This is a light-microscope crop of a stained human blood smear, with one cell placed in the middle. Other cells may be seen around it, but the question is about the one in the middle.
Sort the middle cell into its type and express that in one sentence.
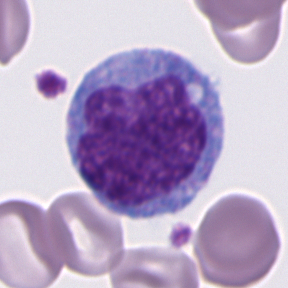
Classified as a monocyte is the cell in the middle of this crop.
